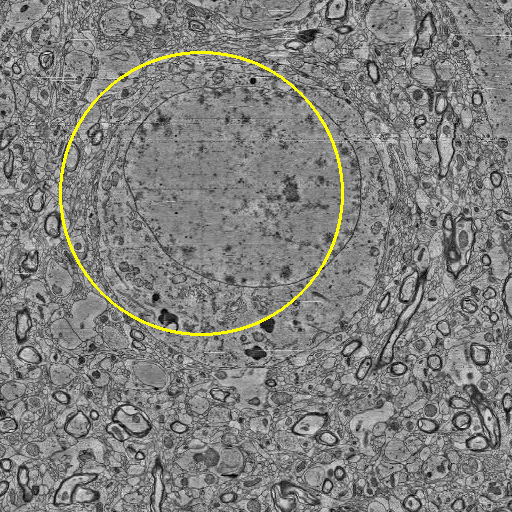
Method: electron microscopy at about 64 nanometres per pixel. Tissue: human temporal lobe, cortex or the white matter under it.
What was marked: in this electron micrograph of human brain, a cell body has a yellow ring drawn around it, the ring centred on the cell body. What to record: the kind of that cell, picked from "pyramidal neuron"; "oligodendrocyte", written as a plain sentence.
The centred cell is a pyramidal neuron.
